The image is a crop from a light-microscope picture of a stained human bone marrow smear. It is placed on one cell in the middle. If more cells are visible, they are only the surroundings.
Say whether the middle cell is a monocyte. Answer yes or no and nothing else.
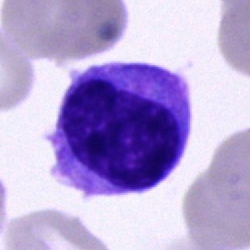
yes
